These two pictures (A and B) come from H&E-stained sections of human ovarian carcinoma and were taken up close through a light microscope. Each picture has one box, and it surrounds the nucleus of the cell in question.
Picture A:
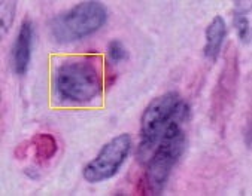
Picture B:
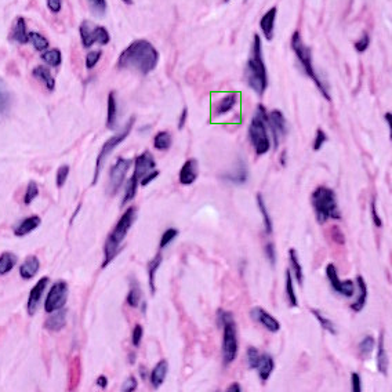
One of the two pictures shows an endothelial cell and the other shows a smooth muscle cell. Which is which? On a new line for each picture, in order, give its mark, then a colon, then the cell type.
A: endothelial cell
B: smooth muscle cell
